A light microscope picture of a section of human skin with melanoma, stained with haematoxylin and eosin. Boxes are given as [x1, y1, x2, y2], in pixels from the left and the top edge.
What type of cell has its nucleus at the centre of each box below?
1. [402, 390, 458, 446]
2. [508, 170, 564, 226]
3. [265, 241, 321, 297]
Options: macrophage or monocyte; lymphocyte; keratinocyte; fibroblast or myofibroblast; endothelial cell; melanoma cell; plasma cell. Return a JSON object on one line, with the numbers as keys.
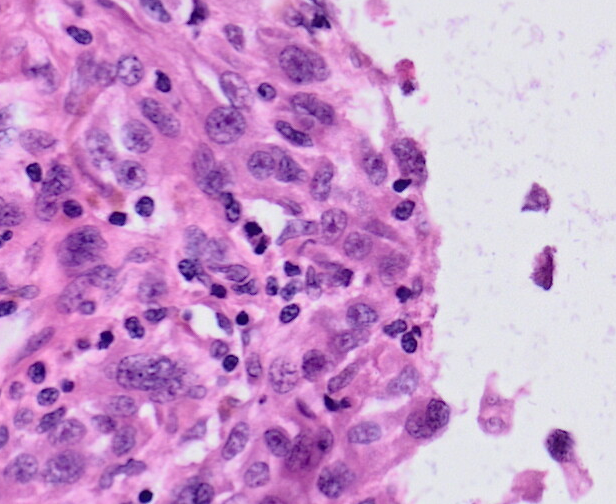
{"1": "melanoma cell", "2": "melanoma cell", "3": "lymphocyte"}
